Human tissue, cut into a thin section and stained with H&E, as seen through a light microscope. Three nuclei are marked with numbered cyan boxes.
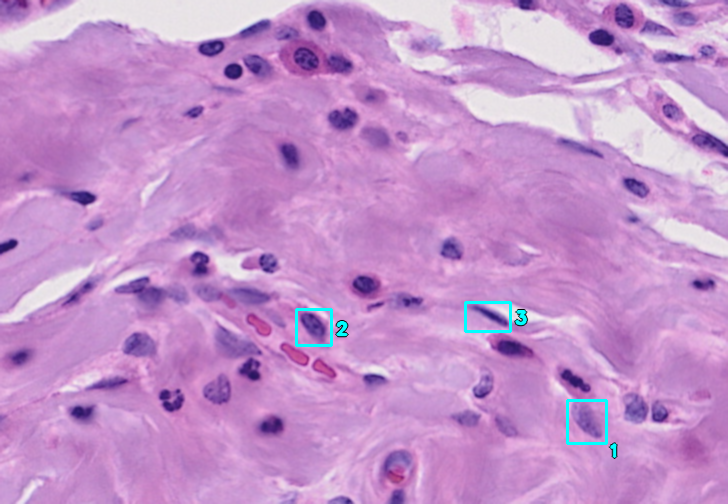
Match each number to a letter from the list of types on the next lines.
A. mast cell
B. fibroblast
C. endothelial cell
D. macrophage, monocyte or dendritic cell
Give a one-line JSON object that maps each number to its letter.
{"1": "B", "2": "A", "3": "B"}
